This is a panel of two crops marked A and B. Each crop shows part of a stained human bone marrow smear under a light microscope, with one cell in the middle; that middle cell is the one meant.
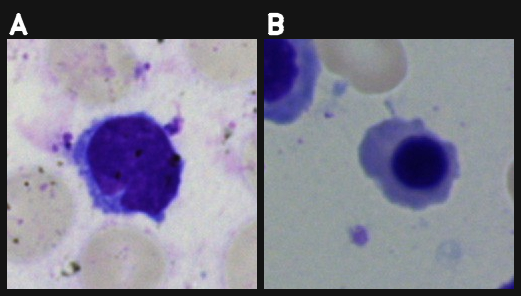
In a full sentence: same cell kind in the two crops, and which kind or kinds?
No, a normoblast is the cell in crop B, and crop A contains a lymphocyte.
